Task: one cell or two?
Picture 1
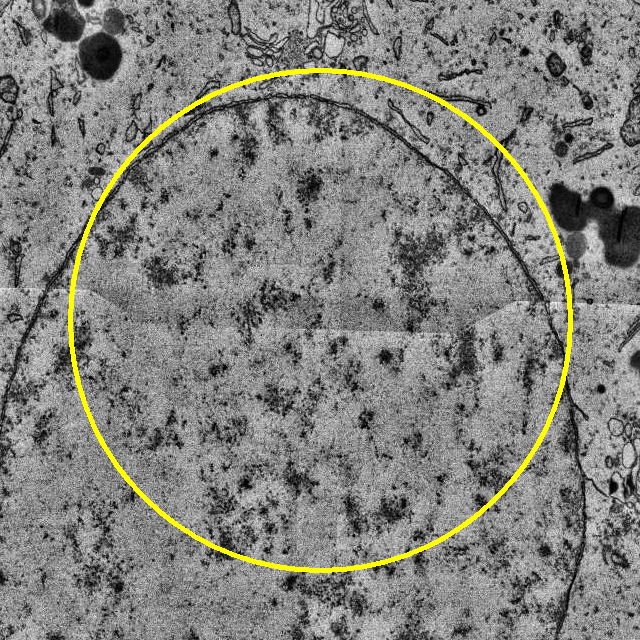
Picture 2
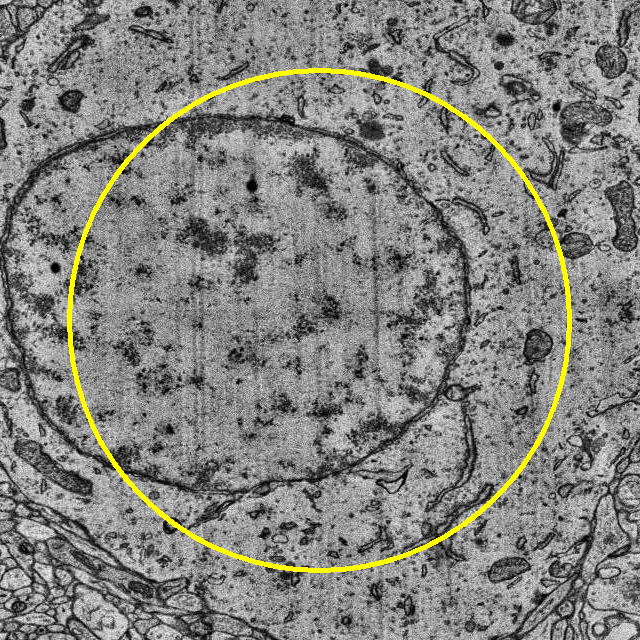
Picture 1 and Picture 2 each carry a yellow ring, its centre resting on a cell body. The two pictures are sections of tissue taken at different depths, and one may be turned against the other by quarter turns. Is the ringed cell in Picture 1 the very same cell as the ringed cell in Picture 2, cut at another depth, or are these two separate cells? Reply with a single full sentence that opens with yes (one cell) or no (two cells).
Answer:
No, these two rings belong to two distinct cells.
